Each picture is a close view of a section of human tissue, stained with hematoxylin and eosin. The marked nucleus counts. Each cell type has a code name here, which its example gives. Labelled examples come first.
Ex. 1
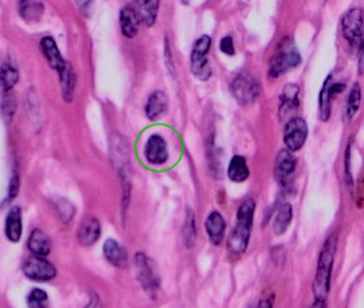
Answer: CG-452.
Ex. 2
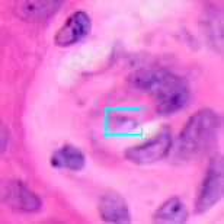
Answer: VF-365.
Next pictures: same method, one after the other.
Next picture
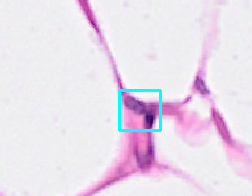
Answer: VF-365.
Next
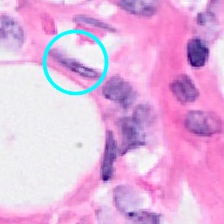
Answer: VF-365.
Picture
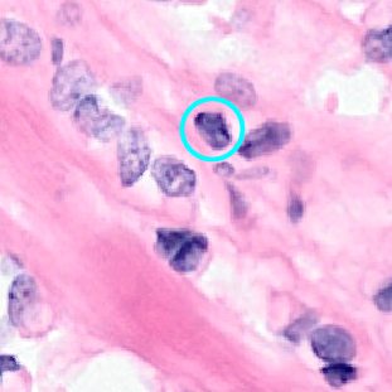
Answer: CG-452.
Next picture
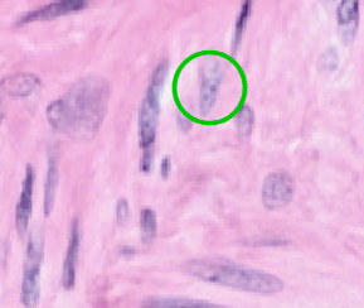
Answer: VF-365.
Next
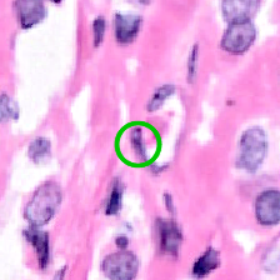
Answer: VF-365.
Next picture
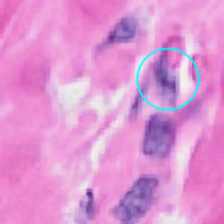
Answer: VF-365.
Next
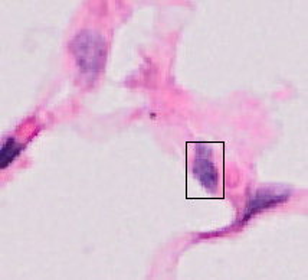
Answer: VF-365.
